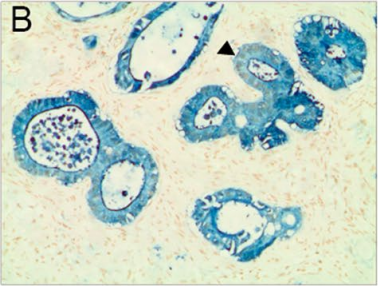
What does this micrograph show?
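Tumor cells form several rounded and irregular gland-like structures set in a pale fibrous stroma. Each gland is lined by one to several layers of epithelial cells whose cytoplasm is stained intensely blue-green, outlining the glands sharply against the background. The lumens are wide and open, and some contain loose debris and scattered small dark bodies. Between the glands the stroma is pale with many thin, elongated spindle-shaped cells with faint orange-tinged nuclei, which are unstained by the blue-green colour. The glands vary in size and shape, some appearing budded or joined.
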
